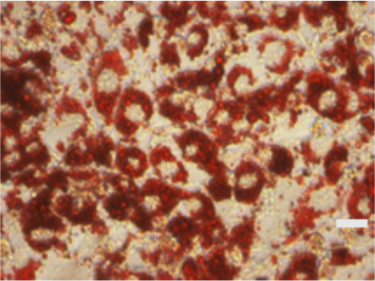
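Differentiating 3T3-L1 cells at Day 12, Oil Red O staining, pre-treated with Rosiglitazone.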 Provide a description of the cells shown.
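A cultured cell layer densely filled with rounded cells whose cytoplasm is packed with red-stained droplets. The cells lie close together, and little unstained background is left between them.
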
